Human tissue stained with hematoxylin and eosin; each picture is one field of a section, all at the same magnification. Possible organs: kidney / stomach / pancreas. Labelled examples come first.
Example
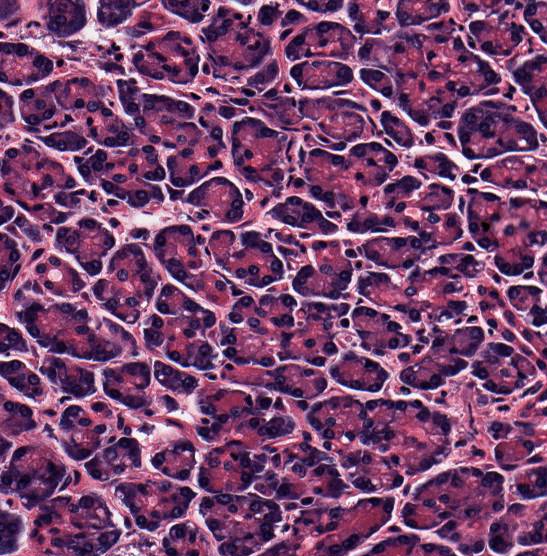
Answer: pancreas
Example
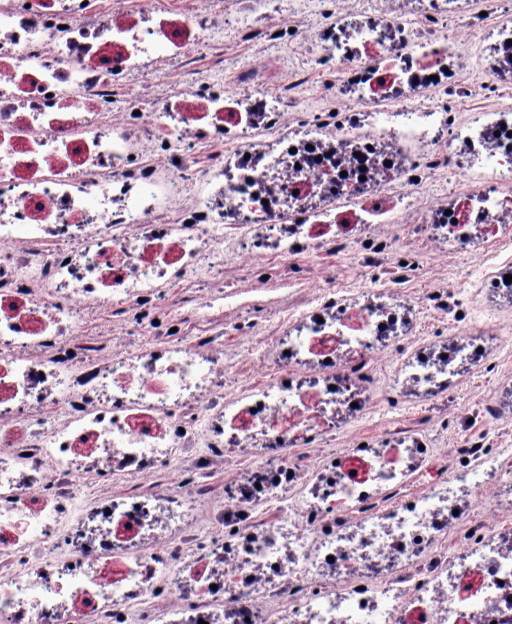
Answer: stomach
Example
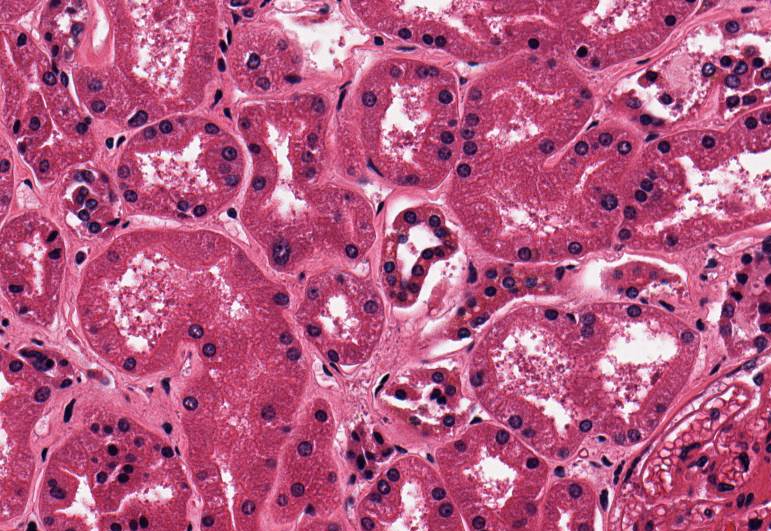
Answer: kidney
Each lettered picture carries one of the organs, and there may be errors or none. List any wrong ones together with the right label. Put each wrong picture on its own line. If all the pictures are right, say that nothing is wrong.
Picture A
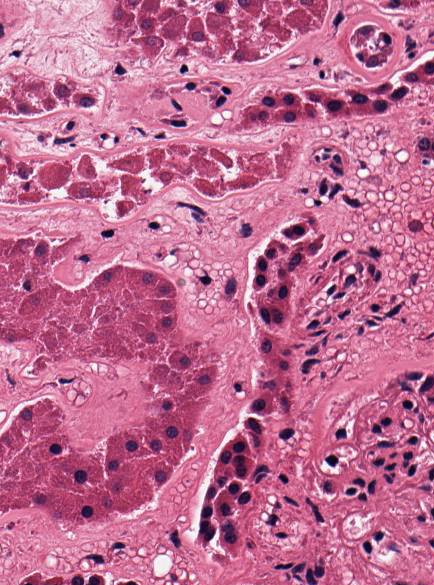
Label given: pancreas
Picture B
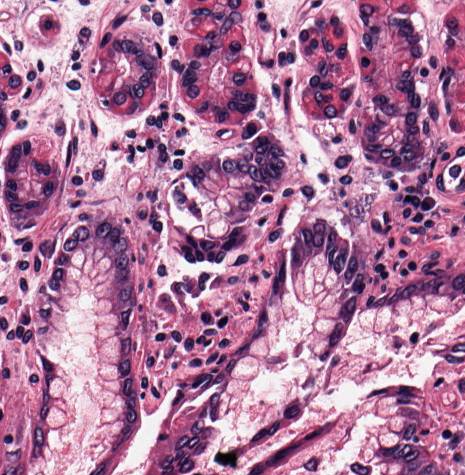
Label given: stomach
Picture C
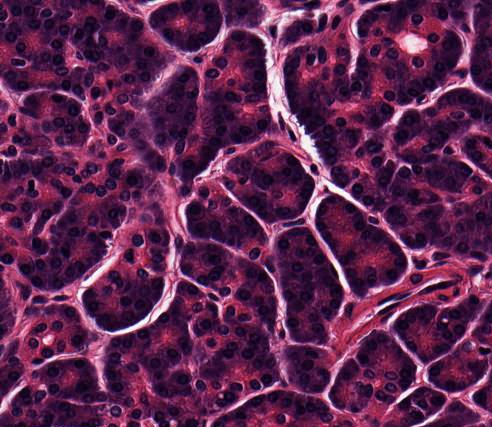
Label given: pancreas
A: not pancreas but kidney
